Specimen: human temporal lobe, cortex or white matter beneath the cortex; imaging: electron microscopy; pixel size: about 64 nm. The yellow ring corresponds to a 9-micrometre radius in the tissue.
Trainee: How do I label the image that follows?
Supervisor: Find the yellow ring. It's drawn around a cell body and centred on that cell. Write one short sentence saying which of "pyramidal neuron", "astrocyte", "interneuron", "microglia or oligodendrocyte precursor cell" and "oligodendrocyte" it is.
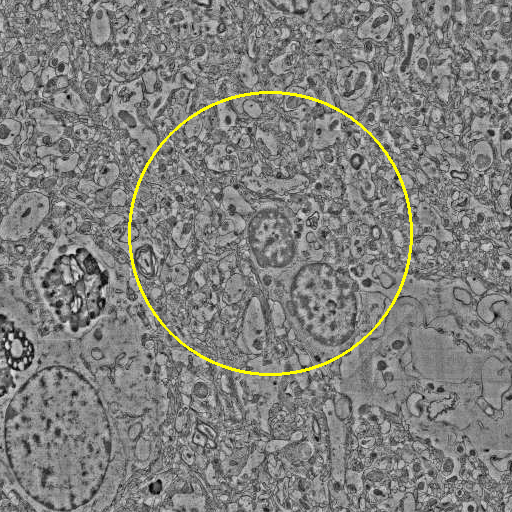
This is the cell body of an oligodendrocyte.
